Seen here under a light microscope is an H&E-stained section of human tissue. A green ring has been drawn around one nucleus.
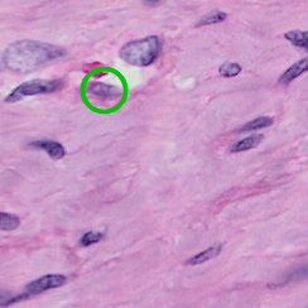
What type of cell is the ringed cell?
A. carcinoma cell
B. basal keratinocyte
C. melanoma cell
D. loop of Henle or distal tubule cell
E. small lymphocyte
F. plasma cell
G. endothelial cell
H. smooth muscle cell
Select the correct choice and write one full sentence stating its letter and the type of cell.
The statement that the ringed cell is an endothelial cell corresponds to option G, the correct one.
